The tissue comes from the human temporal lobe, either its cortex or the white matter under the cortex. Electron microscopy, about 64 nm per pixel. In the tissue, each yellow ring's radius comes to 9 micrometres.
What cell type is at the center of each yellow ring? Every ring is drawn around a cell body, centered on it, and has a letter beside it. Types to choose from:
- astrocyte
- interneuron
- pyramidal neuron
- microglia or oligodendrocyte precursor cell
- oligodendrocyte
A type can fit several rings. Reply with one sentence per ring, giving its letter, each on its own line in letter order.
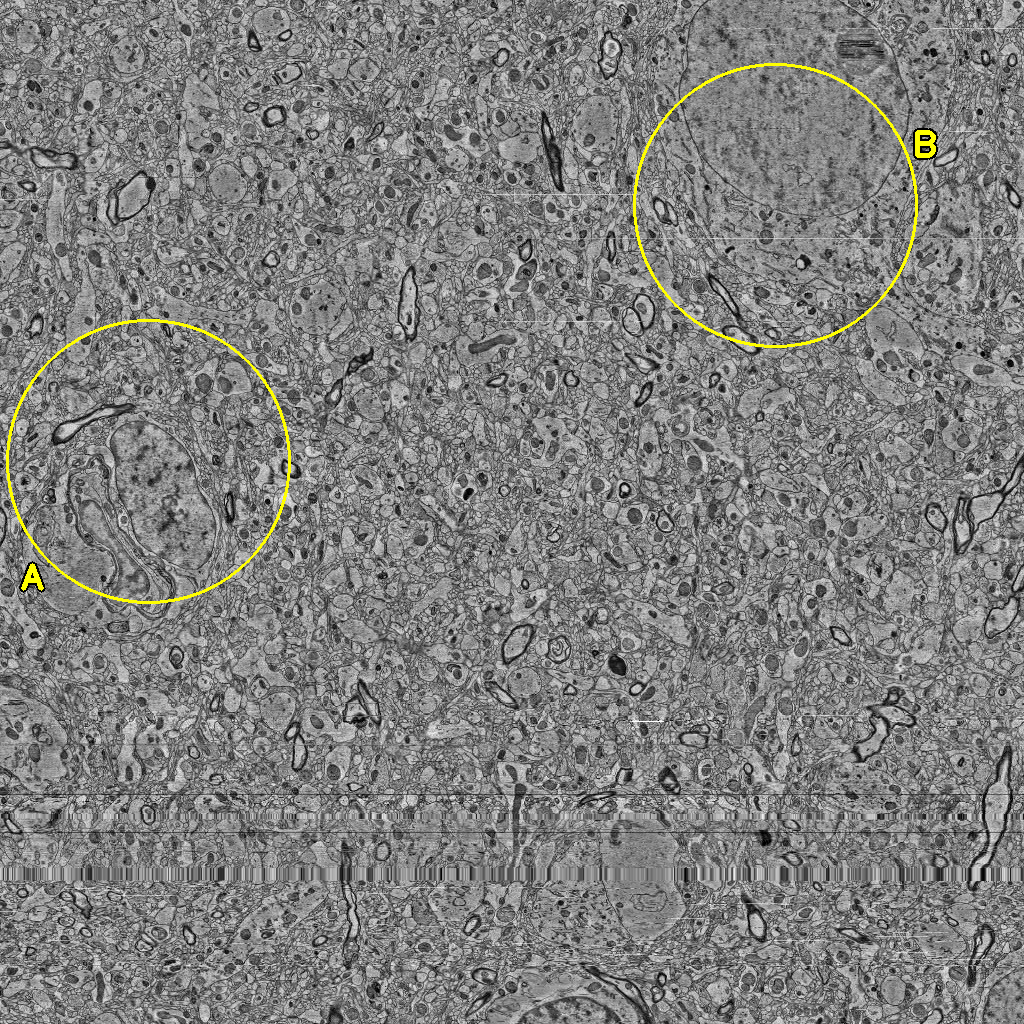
Ring A is placed around a microglial cell or oligodendrocyte precursor cell.
Ring B is placed around a pyramidal neuron.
